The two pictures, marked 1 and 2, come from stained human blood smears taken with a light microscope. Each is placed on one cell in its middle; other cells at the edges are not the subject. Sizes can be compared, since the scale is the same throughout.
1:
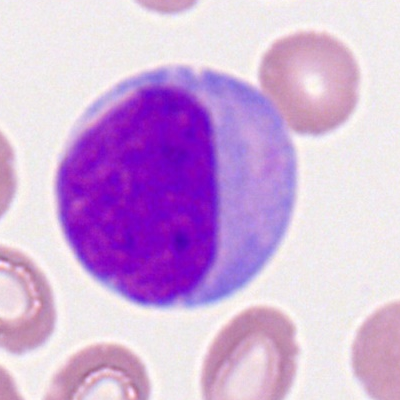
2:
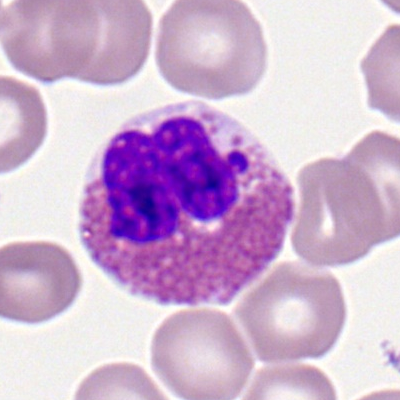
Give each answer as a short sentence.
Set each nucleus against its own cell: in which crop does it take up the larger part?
In crop 1 the nucleus takes up the larger part of its cell.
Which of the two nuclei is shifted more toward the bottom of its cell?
It is the nucleus in crop 1 that lies further toward the bottom of its cell.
